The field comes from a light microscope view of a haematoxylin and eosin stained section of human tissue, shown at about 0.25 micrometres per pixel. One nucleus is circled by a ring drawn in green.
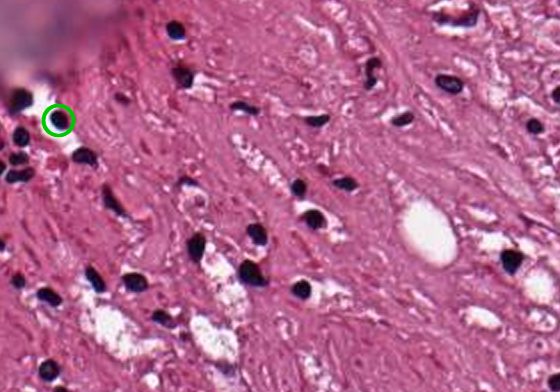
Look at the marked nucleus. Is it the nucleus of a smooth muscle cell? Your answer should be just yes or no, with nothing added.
no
